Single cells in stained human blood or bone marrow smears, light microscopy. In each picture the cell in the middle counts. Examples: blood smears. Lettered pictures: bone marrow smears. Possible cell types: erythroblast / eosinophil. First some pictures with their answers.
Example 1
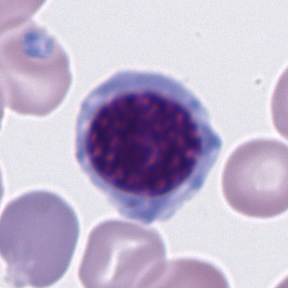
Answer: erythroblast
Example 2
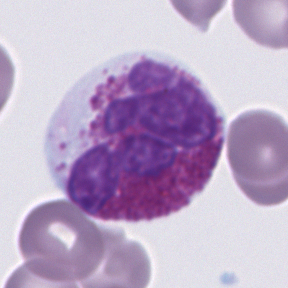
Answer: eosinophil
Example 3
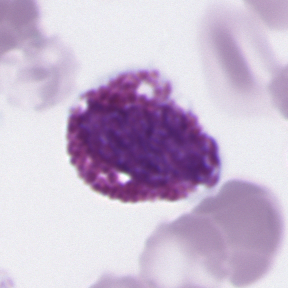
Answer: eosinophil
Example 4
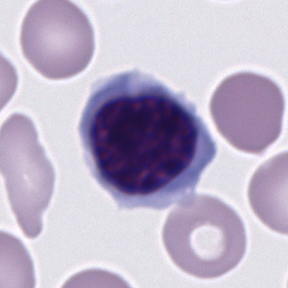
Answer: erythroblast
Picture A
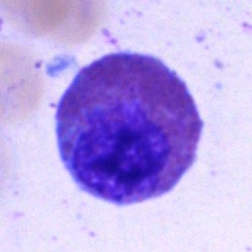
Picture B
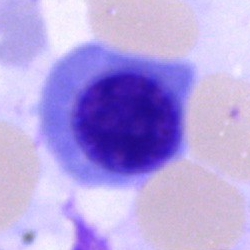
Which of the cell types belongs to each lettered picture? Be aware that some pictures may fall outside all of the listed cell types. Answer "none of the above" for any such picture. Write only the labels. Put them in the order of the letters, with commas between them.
eosinophil, erythroblast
